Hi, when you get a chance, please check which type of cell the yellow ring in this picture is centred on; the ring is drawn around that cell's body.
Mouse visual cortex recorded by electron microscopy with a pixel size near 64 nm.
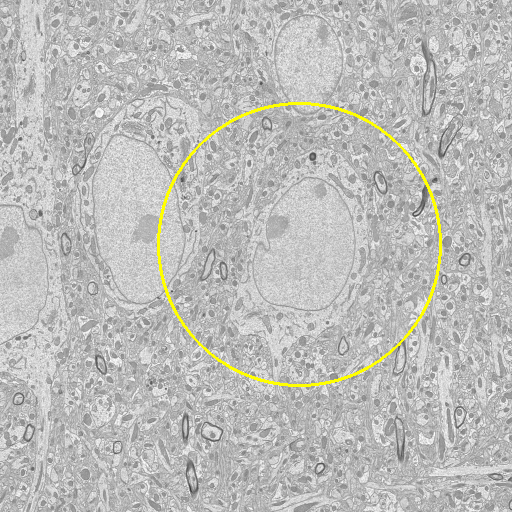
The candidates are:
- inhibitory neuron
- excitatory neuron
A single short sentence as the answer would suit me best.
The ring is drawn around the body of an excitatory neuron.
